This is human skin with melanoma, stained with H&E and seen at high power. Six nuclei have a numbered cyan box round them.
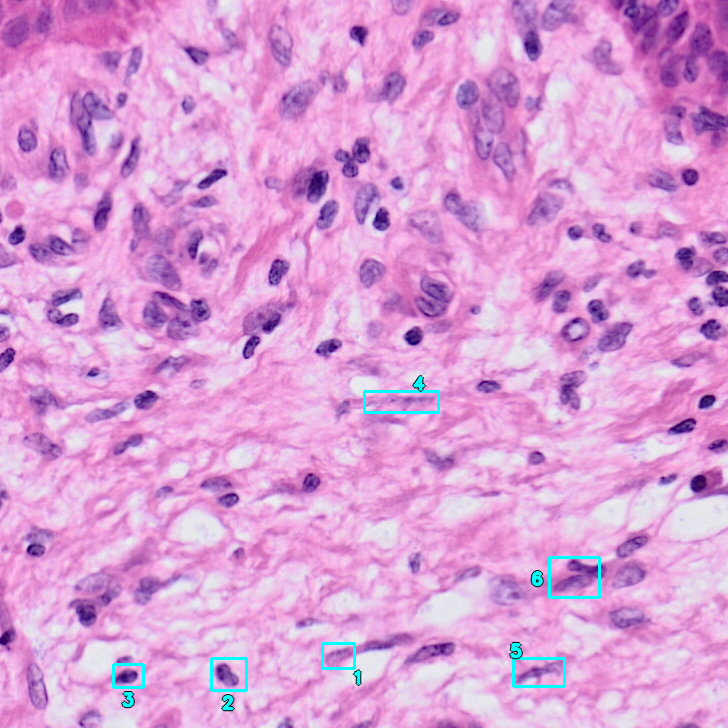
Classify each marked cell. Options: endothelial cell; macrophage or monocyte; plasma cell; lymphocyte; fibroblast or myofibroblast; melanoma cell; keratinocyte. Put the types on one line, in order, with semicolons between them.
fibroblast or myofibroblast; lymphocyte; lymphocyte; fibroblast or myofibroblast; fibroblast or myofibroblast; macrophage or monocyte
